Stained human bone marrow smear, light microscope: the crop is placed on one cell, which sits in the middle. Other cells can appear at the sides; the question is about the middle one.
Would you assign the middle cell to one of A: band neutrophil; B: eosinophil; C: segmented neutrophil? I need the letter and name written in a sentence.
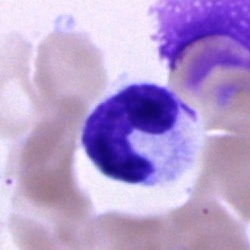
Option A is accurate; the centrally placed cell is a band neutrophil.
